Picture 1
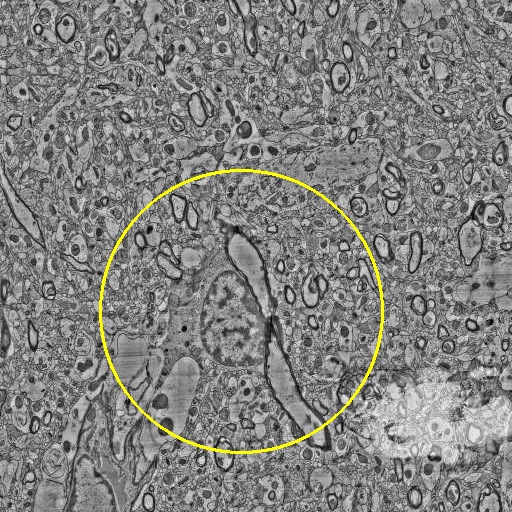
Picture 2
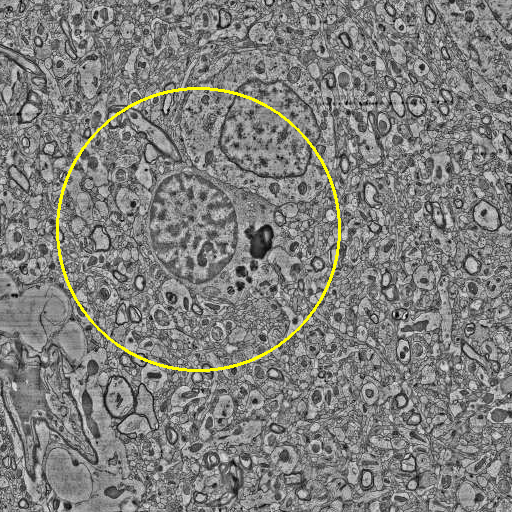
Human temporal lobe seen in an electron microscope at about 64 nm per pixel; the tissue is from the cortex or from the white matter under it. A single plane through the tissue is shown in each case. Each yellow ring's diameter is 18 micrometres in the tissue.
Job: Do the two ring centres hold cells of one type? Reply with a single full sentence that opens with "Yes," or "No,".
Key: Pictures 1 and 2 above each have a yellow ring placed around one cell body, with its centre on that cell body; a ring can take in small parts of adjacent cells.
Yes, the cells at the two ring centres are of one single type.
